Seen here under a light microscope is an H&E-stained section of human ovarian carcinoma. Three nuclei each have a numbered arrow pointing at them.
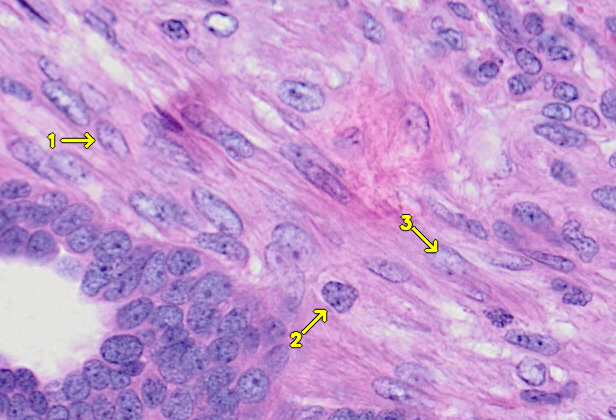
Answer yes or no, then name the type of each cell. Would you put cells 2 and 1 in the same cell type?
No, cell 2 is a macrophage or monocyte and cell 1 is a fibroblast.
